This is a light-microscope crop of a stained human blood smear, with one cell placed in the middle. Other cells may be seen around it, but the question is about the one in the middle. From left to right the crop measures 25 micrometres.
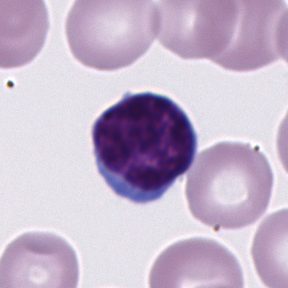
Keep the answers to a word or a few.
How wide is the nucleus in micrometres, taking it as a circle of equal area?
8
